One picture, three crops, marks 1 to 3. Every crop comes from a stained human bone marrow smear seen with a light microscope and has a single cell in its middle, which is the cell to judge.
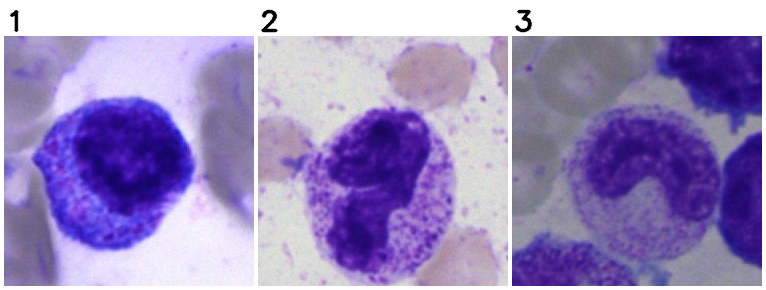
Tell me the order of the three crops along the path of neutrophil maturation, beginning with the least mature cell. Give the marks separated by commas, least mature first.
1, 3, 2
